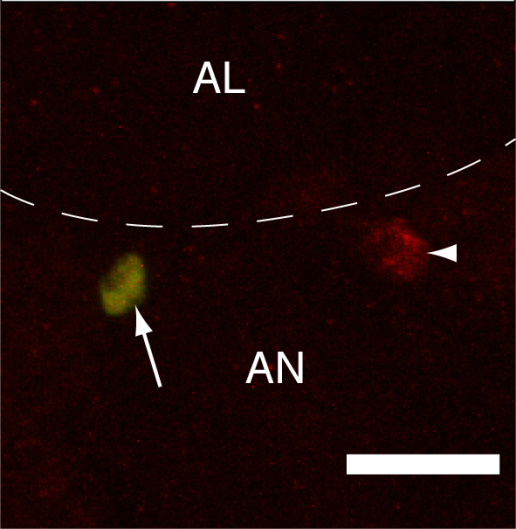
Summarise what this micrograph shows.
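Two small, single cells lie in the antennal nerve, just below the dashed boundary that separates the nerve from the antennal lobe. The cell at the left carries both colours and so looks yellow, with a compact, oval, evenly filled outline. The cell to the right, closer to the boundary, is only red and looks more diffuse and speckled, without any green.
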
